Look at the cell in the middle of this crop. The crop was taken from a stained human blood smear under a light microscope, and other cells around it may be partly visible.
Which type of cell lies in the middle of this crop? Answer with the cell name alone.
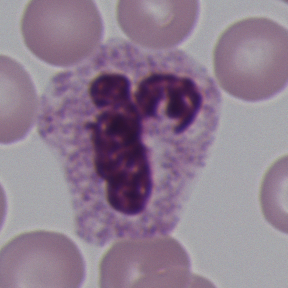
segmented neutrophil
